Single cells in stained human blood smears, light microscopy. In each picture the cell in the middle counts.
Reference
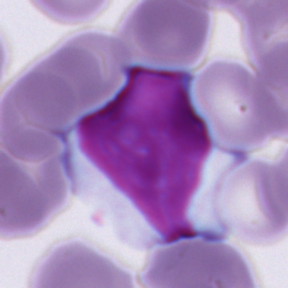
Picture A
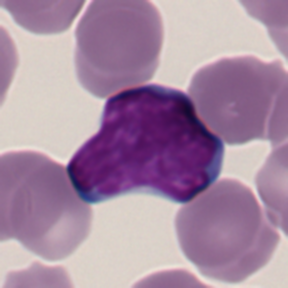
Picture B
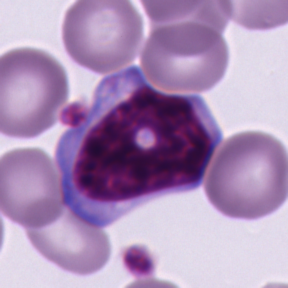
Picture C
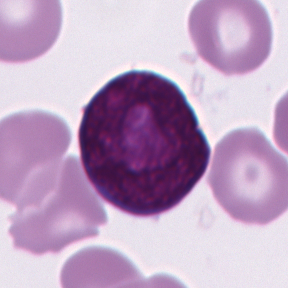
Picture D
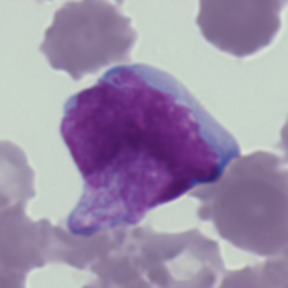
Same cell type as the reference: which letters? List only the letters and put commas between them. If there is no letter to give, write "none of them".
A, B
